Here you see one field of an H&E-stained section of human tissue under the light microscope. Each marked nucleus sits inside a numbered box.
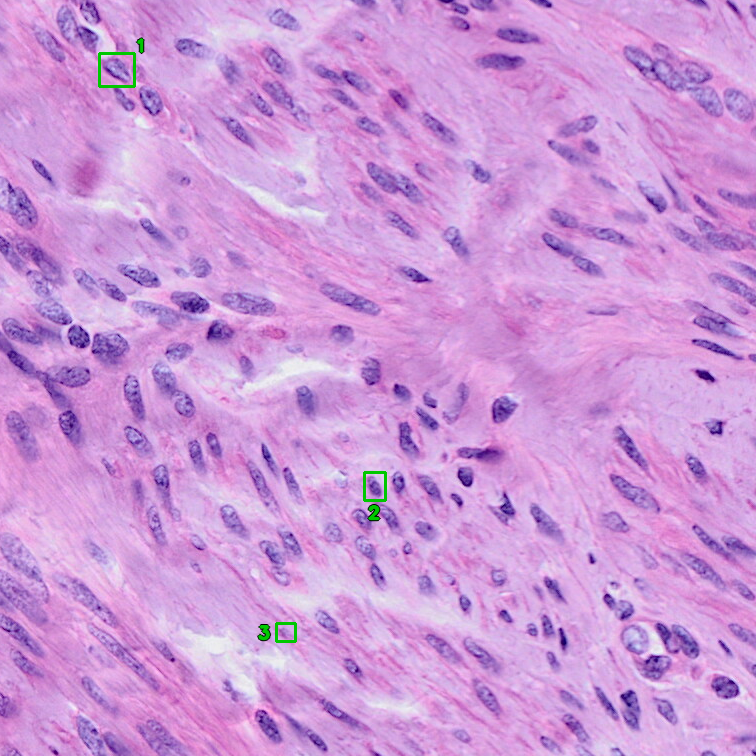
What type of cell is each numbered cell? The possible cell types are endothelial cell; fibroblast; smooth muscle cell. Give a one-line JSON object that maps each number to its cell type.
{"1": "endothelial cell", "2": "smooth muscle cell", "3": "smooth muscle cell"}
